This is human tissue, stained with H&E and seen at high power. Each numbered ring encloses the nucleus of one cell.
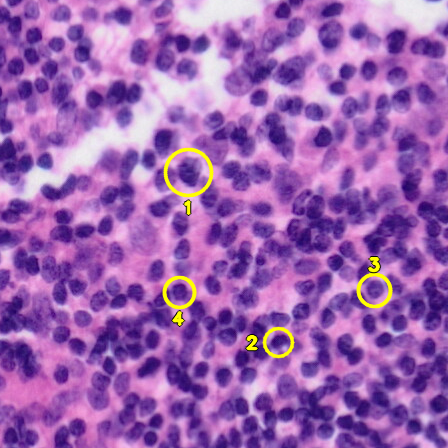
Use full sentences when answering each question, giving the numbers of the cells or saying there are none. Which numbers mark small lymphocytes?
The cells picked out by numbers 2, 3 and 4 are small lymphocytes.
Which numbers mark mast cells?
Each of the numbered cells is a cell other than one of the mast cells.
